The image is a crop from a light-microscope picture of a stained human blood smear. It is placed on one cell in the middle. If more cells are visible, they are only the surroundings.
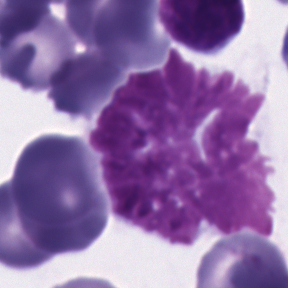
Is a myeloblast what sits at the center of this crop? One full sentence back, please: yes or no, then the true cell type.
No, instead of a myeloblast, the middle cell is a smudge cell.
